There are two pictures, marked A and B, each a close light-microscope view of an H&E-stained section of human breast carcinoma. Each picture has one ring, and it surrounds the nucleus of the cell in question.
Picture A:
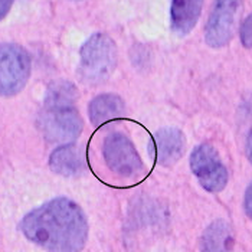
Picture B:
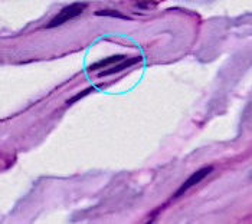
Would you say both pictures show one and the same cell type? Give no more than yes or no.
no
